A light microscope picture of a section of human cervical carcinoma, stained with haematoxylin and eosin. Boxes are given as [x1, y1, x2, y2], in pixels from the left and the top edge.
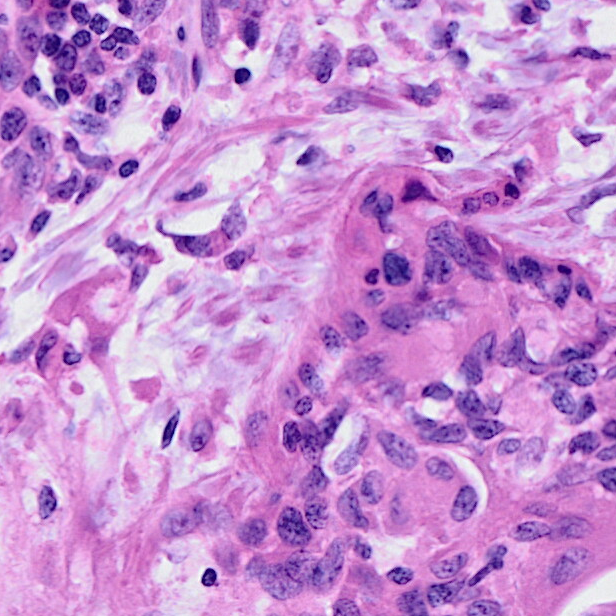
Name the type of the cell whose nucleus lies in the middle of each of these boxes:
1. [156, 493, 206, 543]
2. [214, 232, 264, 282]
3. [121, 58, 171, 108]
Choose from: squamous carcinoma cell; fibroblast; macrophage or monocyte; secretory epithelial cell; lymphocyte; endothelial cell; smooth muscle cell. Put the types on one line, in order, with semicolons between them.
fibroblast; macrophage or monocyte; lymphocyte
